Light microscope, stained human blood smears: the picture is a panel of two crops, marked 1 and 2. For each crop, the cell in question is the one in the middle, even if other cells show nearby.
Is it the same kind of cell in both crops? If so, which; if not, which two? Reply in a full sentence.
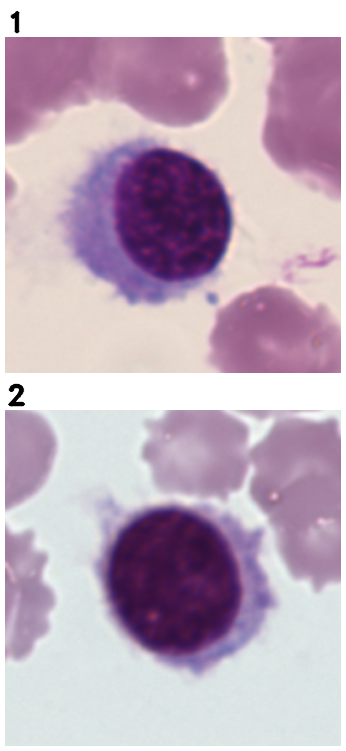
Yes, both crops show hairy cells in the centre of the field.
